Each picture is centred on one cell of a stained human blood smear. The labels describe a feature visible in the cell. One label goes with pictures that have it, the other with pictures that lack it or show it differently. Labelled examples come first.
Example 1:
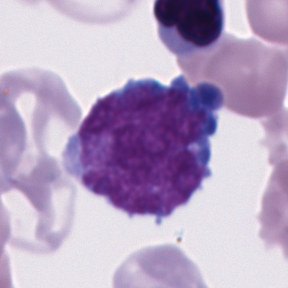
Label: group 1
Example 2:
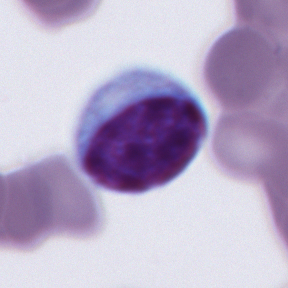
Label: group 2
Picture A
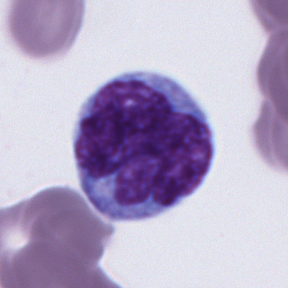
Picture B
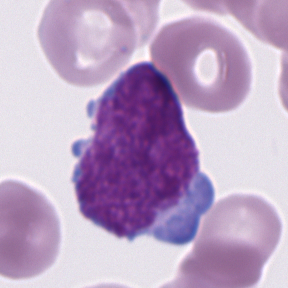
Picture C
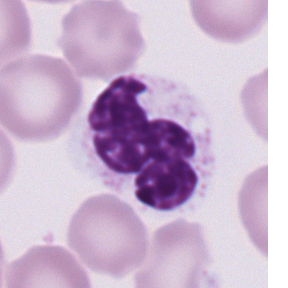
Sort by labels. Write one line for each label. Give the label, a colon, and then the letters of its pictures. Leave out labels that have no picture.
group 1: B
group 2: A, C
